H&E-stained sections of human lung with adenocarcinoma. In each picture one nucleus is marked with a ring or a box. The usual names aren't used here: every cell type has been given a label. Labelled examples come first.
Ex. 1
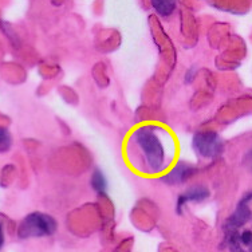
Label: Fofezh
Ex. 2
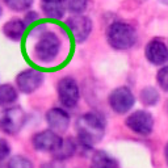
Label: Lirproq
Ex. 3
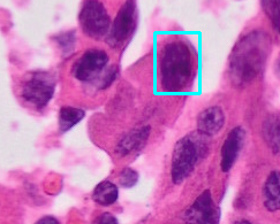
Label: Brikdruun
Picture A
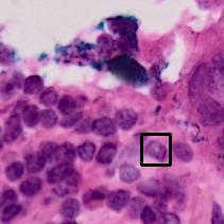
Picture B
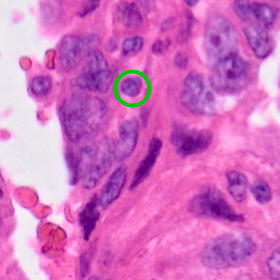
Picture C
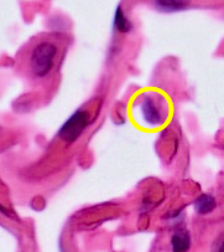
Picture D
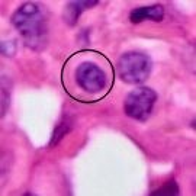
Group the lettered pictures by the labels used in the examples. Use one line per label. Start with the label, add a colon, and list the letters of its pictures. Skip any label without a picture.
Fofezh: C
Lirproq: A, B, D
